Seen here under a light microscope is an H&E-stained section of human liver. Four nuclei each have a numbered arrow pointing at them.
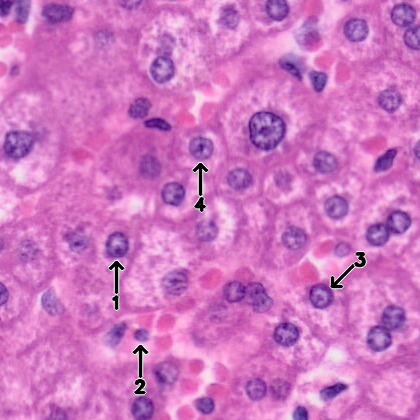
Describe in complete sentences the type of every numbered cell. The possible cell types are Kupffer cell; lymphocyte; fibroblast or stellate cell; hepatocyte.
Cells 1, 3 and 4 are hepatocytes. Cell 2 is a lymphocyte.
